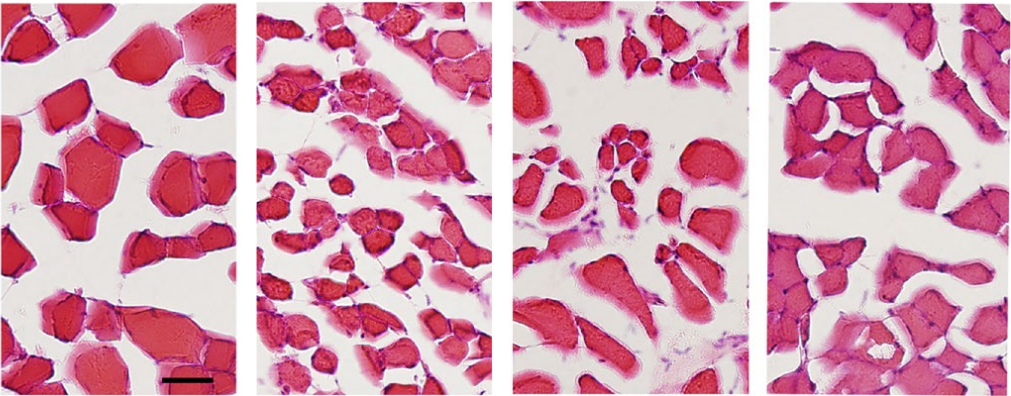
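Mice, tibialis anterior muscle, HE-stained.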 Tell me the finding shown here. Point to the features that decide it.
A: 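Myofiber atrophy. In the second and third images many myofibers are small and angular, much smaller than those in the first image.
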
